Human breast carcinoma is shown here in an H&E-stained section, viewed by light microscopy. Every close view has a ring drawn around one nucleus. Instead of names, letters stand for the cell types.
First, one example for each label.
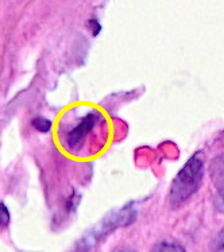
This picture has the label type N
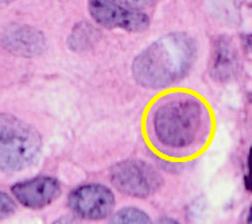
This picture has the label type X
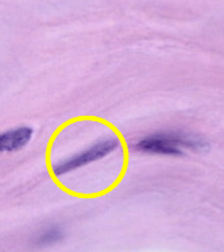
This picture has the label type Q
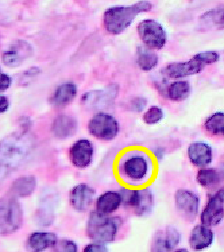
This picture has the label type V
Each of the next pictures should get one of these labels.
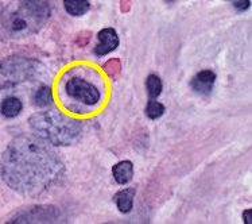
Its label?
type V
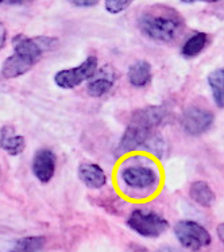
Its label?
type V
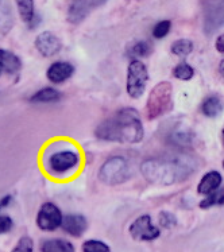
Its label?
type V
